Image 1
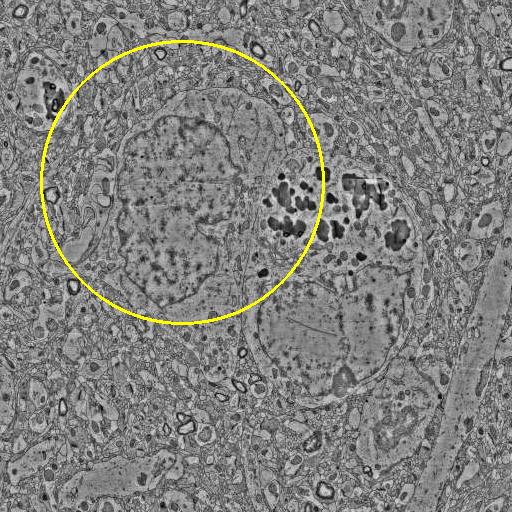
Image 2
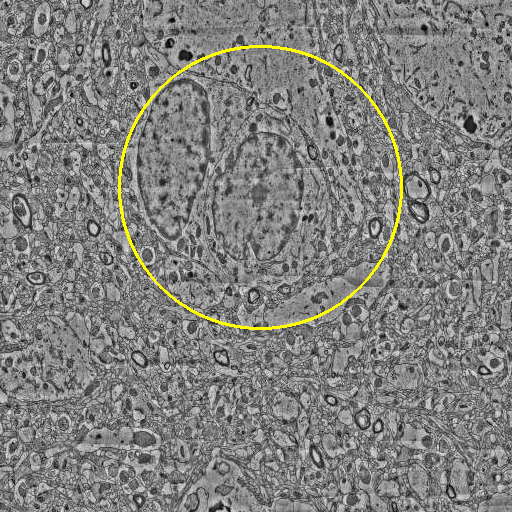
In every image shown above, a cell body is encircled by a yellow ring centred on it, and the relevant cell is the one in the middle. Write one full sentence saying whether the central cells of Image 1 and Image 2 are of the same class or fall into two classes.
The cell at the ring's centre in Image 1 and its counterpart in Image 2 are of the same class.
